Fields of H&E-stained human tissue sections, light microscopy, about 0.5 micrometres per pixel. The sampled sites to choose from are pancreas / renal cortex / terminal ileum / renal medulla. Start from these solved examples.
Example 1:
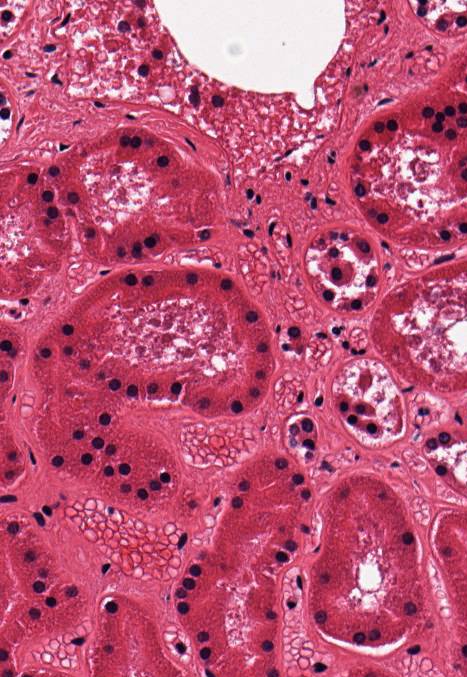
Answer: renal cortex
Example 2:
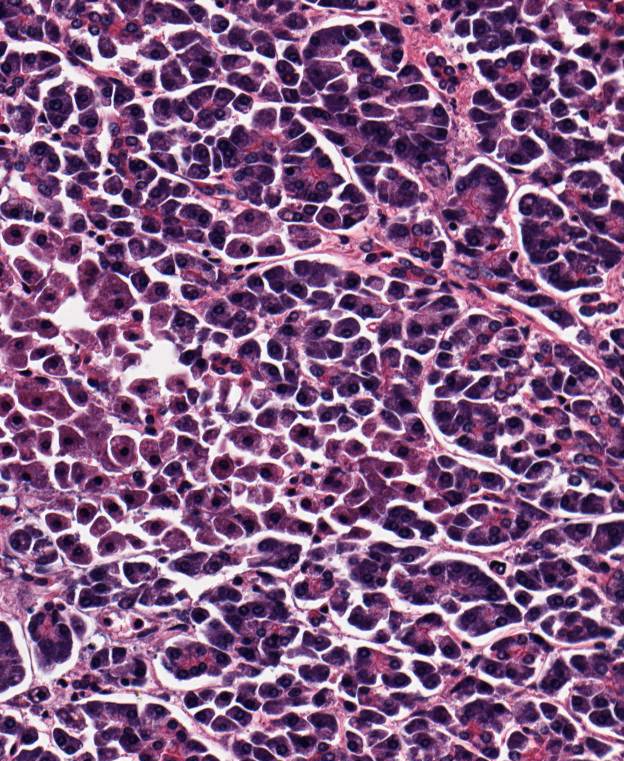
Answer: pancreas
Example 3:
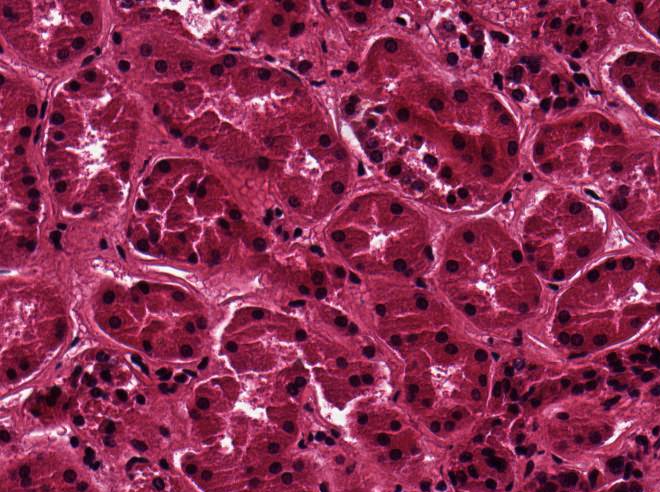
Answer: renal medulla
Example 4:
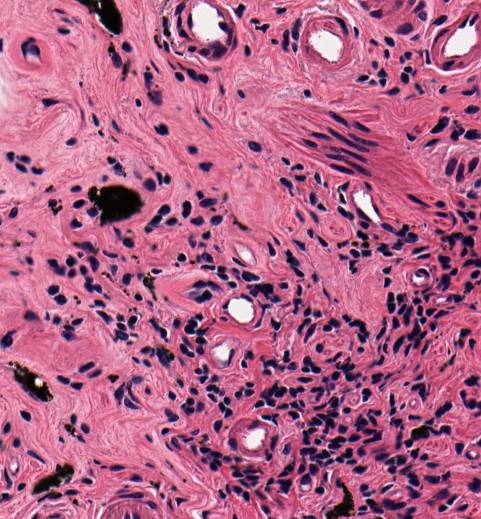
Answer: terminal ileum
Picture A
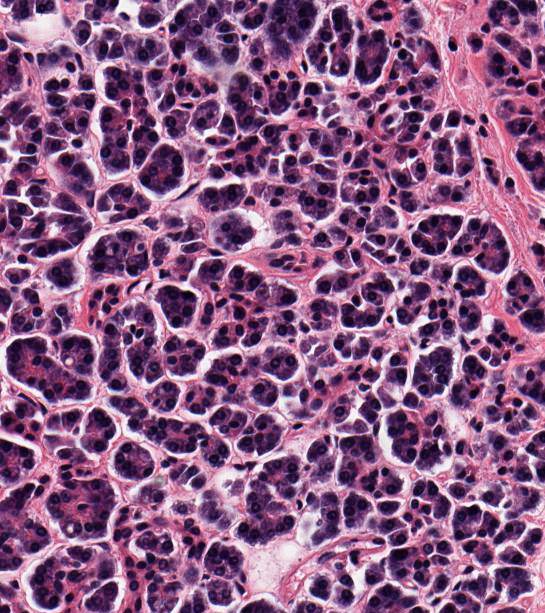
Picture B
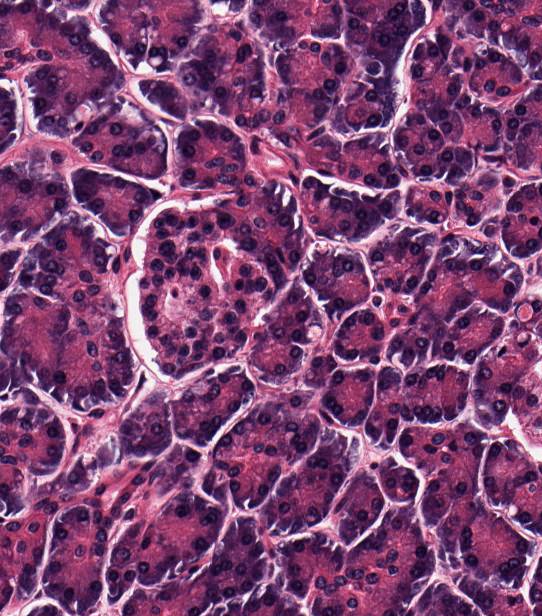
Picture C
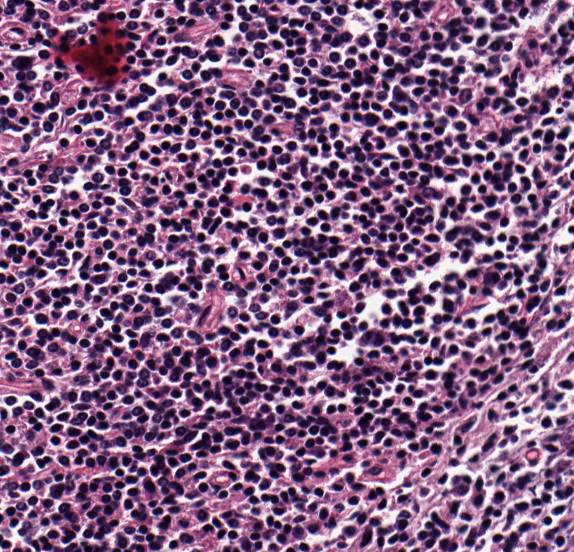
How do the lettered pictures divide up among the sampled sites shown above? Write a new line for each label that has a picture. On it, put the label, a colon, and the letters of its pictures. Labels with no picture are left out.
pancreas: A, B
terminal ileum: C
